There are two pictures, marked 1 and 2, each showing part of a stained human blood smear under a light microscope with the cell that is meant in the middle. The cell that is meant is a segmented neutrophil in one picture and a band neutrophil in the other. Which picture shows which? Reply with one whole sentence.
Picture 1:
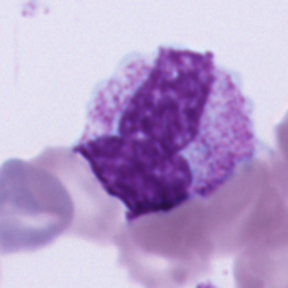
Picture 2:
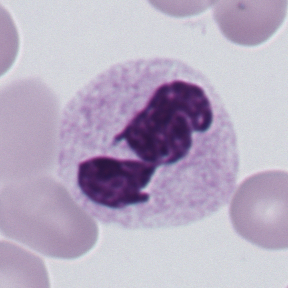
In picture 1 the cell is a band neutrophil; in picture 2, a segmented neutrophil.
